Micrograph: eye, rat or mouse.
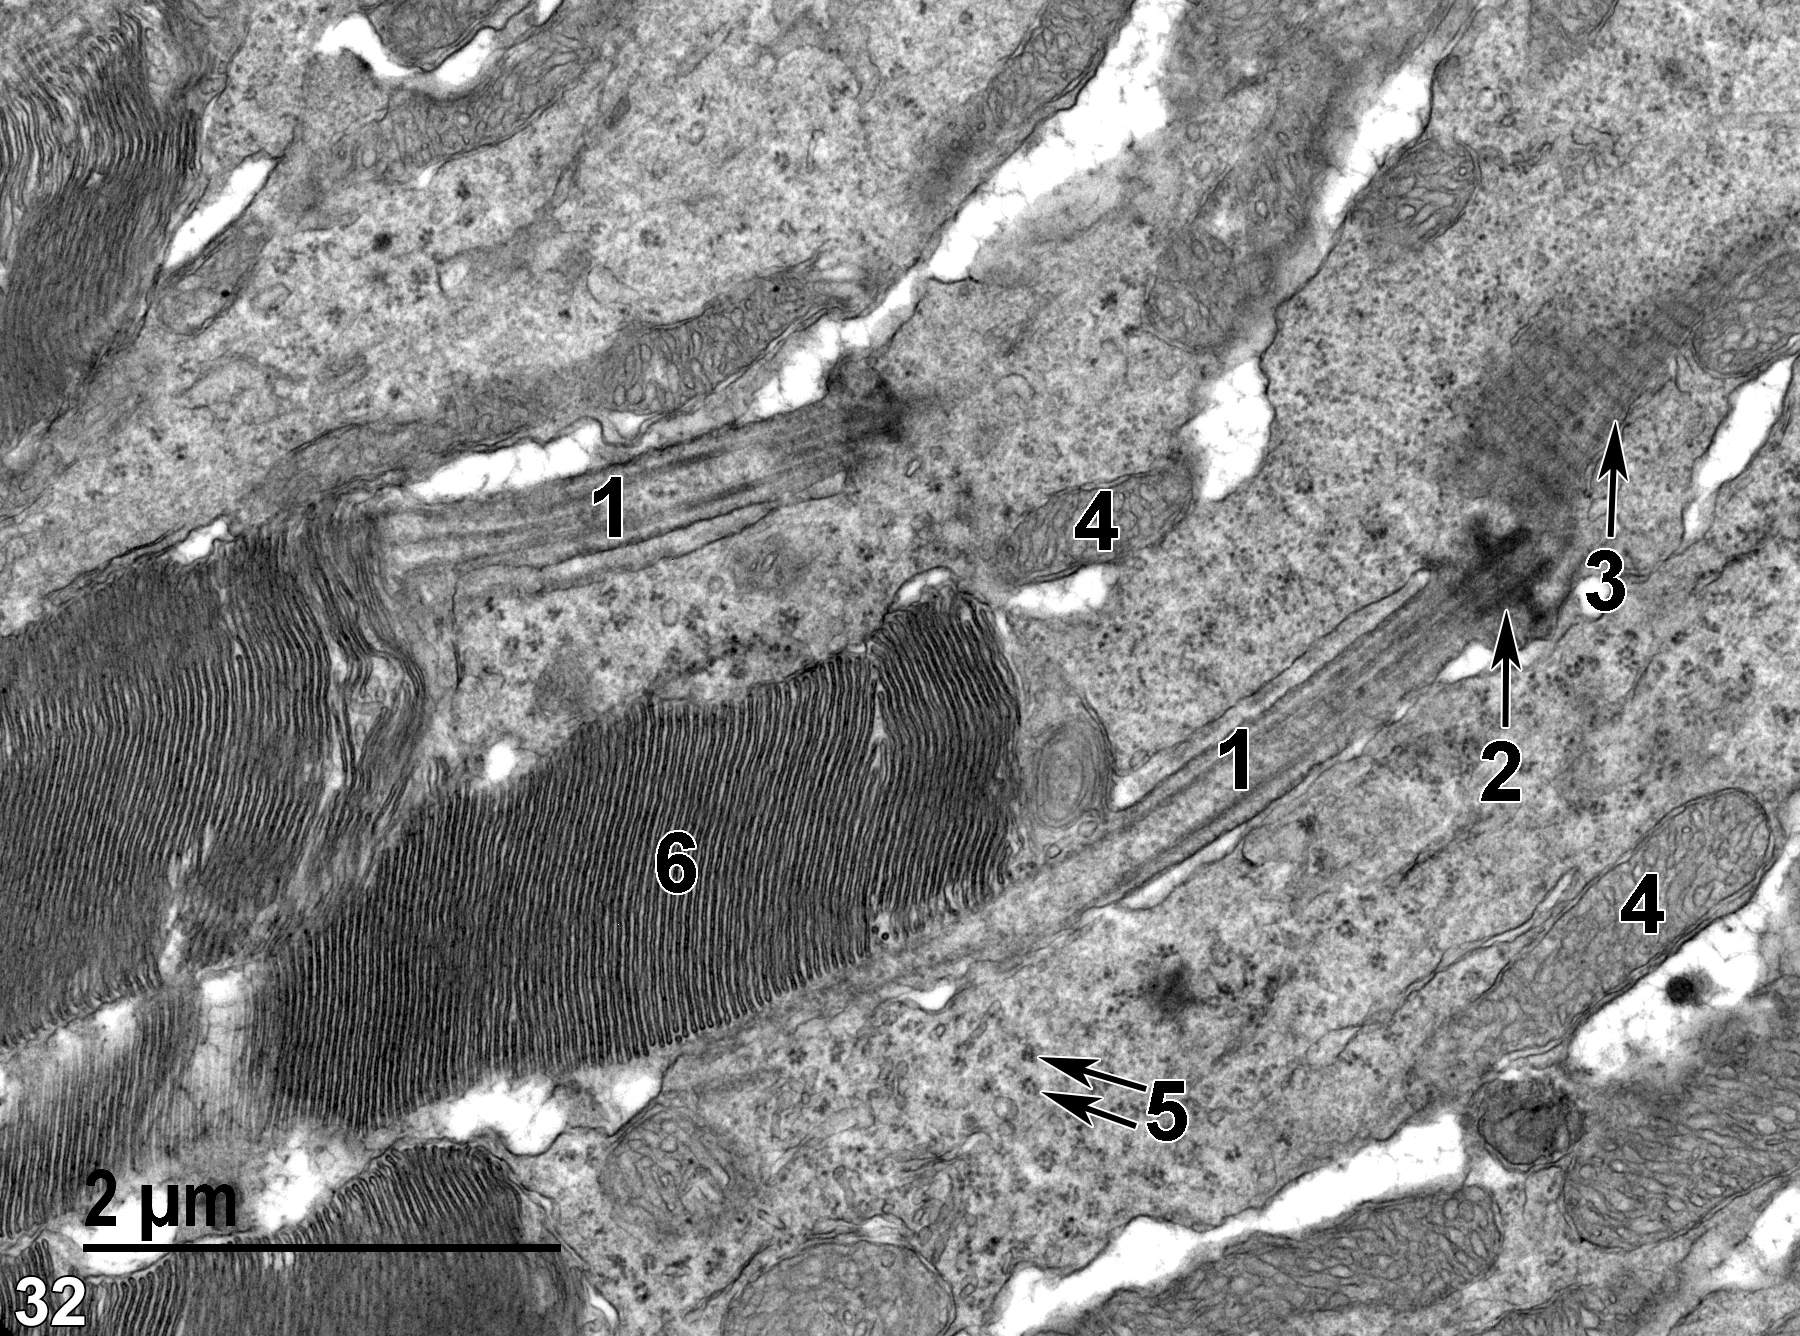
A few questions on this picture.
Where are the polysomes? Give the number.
5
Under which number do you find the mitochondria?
The mitochondria: 4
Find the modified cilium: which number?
1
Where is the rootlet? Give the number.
The rootlet: 3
